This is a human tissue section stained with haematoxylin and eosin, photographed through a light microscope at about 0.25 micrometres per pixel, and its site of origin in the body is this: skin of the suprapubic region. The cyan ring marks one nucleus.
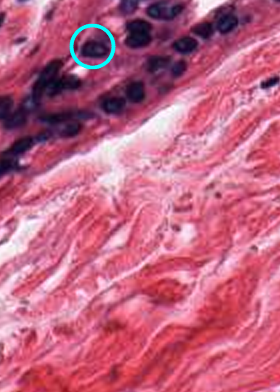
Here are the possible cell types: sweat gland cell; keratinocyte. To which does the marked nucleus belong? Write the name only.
sweat gland cell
